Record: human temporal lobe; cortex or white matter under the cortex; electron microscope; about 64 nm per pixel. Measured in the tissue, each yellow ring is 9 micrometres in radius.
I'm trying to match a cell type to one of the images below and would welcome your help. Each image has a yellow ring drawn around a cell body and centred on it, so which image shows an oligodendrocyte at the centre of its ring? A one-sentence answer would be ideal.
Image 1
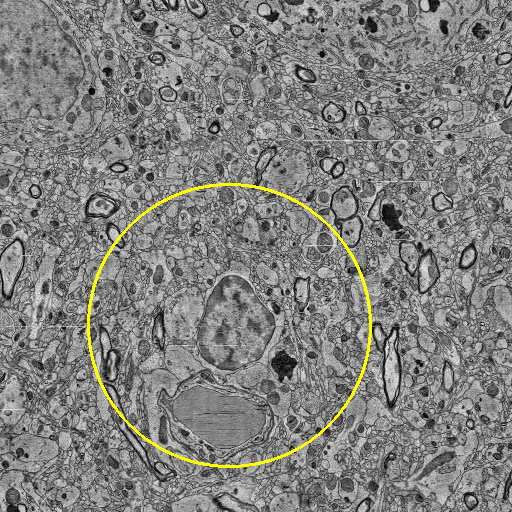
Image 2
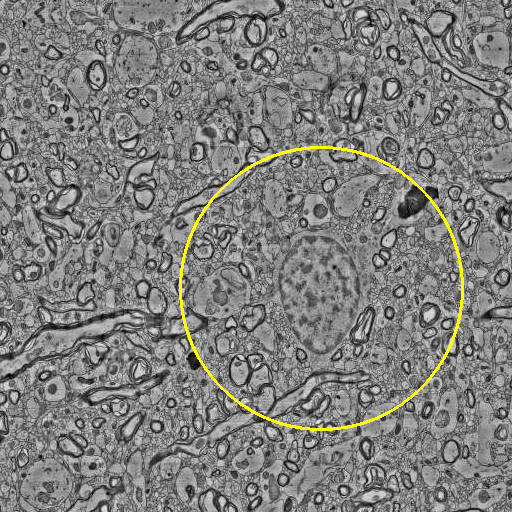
Image 2 shows it at the centre of the ring.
